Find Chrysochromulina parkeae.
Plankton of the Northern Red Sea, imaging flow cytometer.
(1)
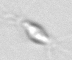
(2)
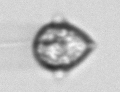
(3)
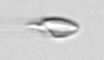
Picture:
1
